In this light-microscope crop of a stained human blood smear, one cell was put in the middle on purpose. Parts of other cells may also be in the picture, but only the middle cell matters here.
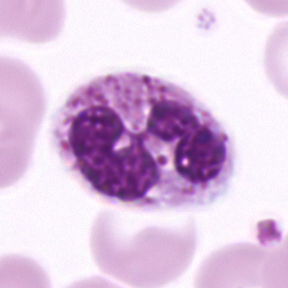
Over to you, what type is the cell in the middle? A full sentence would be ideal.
Present in the middle of the crop is an eosinophil.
